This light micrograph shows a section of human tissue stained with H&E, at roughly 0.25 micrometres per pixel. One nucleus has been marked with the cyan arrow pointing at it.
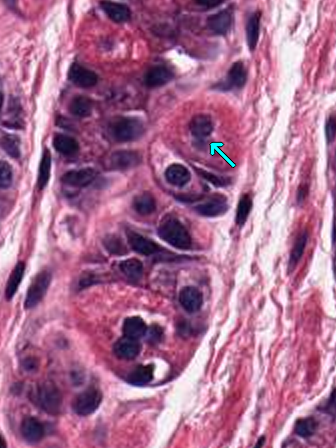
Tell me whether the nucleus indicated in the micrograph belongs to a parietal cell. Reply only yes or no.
yes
